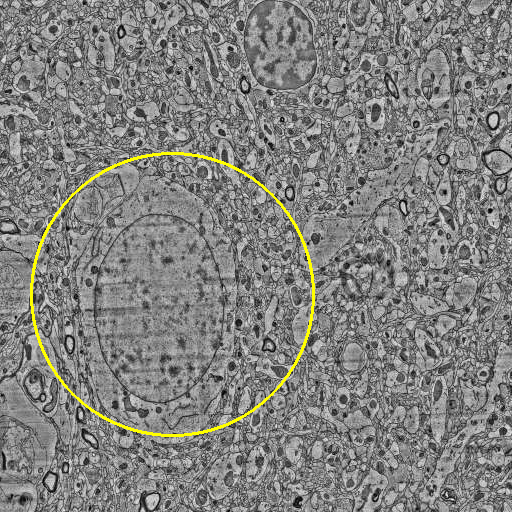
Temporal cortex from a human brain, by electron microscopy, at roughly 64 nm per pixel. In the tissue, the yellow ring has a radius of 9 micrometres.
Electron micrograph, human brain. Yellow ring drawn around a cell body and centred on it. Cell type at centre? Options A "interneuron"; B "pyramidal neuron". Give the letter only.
B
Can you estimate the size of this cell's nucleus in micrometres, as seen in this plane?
The nucleus has a long axis of about 12 micrometres and a short axis of about 9 micrometres in this plane.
